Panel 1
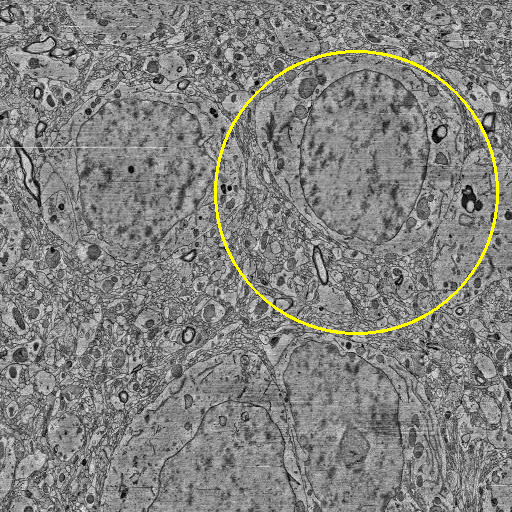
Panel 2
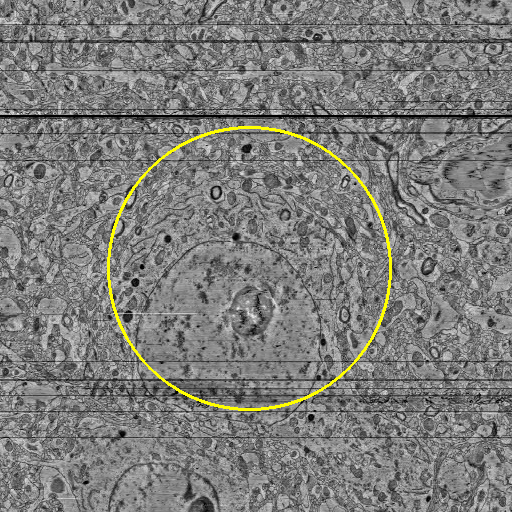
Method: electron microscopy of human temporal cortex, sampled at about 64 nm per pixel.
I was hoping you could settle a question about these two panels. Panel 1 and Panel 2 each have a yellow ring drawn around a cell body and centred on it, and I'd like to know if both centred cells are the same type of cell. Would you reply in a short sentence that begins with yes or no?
Yes, both are the same type of cell.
